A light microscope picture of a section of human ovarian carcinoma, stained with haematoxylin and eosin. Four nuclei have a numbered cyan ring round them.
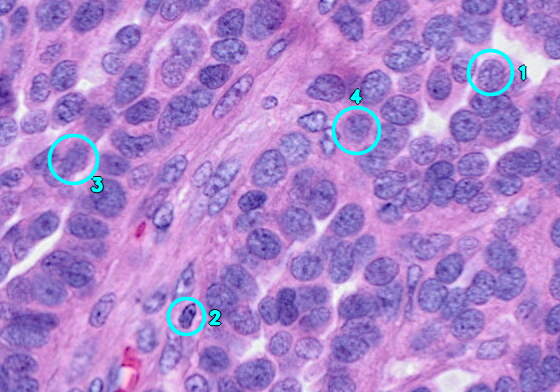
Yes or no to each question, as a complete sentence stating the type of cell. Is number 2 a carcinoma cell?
No, cell 2 is classified as a lymphocyte rather than a carcinoma cell.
